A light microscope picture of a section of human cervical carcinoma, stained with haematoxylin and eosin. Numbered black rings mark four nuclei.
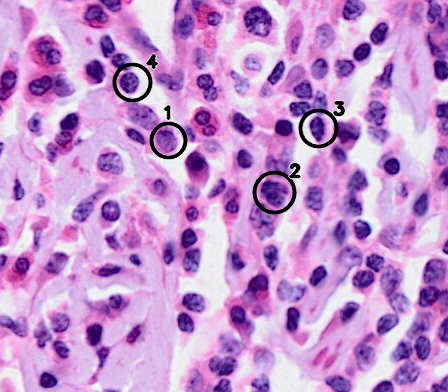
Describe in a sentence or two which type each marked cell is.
Cell 1 is a macrophage or monocyte. Cells 2, 3 and 4 are lymphocytes.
